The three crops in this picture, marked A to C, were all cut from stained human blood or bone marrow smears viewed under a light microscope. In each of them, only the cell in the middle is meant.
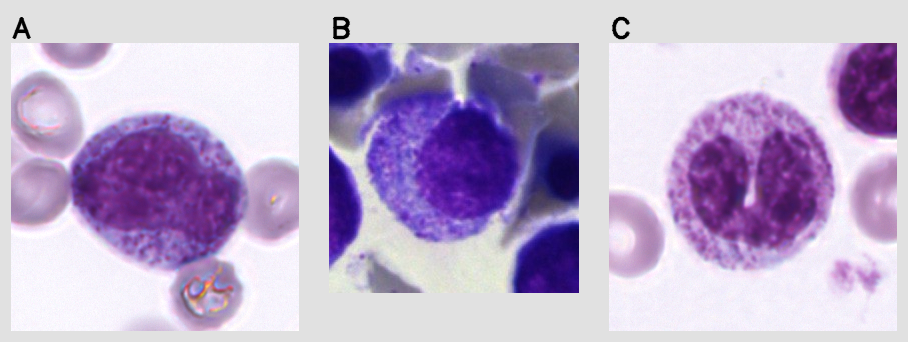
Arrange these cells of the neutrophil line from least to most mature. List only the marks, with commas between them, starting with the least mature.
A, B, C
